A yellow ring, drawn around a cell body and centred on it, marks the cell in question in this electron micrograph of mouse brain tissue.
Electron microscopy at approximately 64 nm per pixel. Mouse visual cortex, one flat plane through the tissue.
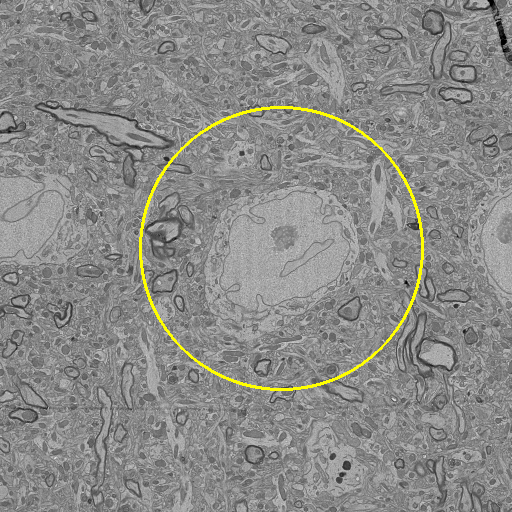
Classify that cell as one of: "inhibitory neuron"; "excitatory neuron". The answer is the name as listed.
inhibitory neuron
